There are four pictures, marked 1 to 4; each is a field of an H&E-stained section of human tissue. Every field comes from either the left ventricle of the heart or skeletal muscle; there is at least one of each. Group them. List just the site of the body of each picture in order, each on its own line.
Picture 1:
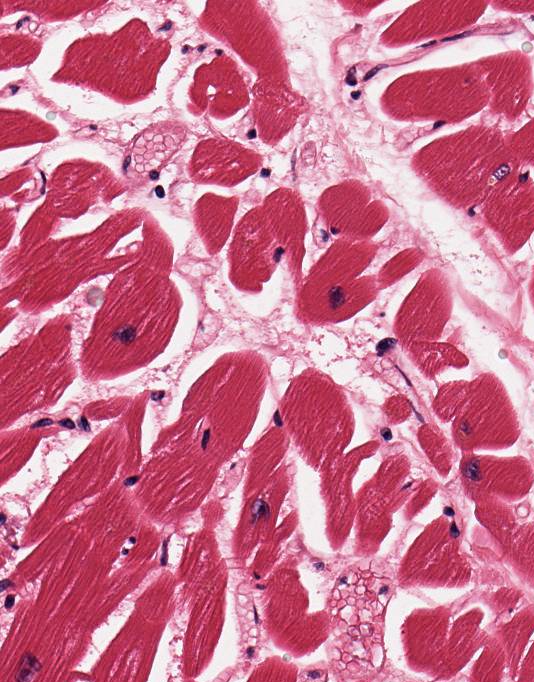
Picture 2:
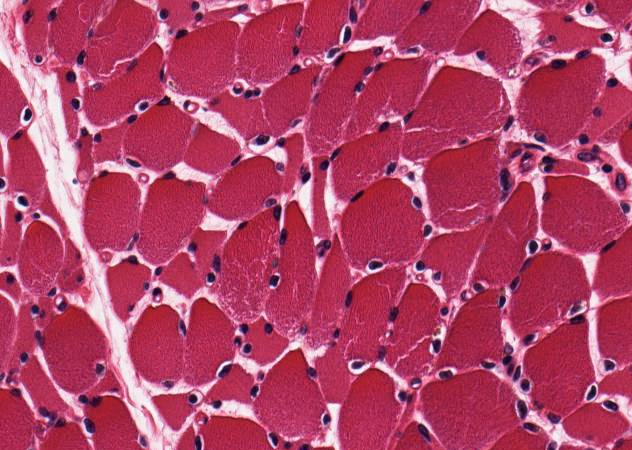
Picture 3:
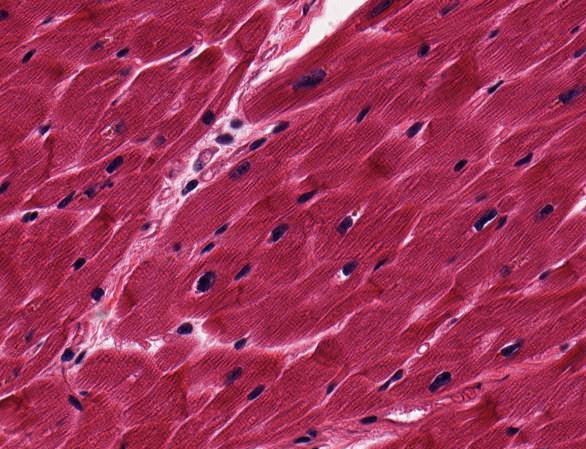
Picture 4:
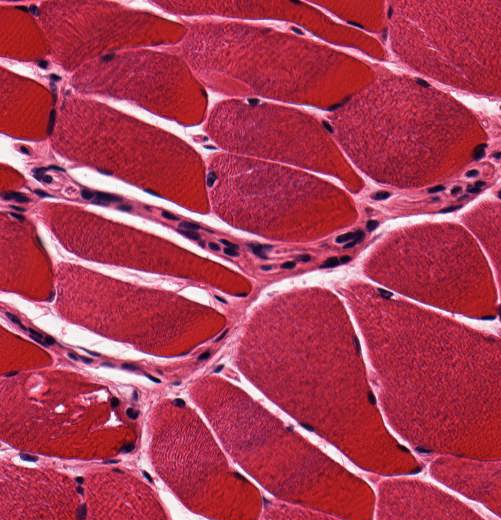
left ventricle of the heart
skeletal muscle
left ventricle of the heart
skeletal muscle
